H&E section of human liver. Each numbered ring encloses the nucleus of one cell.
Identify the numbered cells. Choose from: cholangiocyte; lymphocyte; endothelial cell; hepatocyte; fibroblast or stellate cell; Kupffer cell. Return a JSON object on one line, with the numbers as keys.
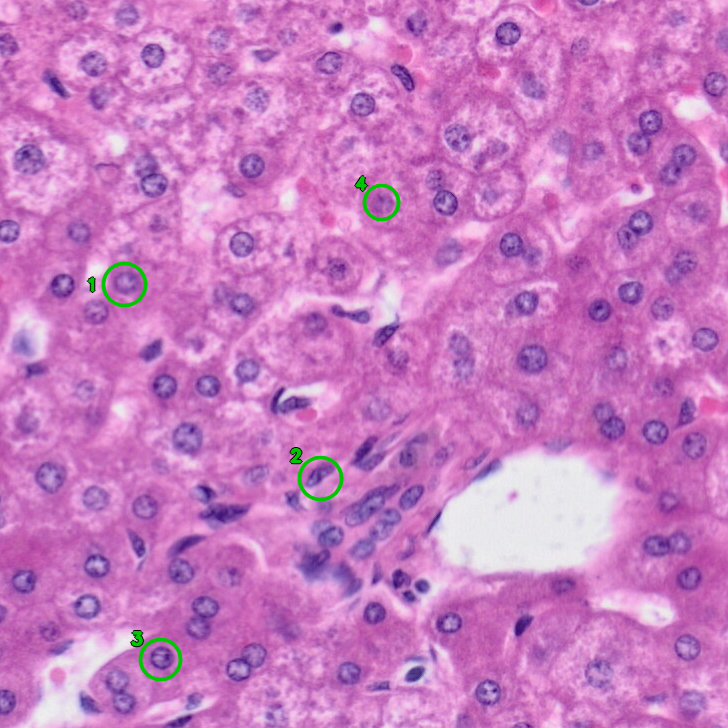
{"1": "hepatocyte", "2": "fibroblast or stellate cell", "3": "hepatocyte", "4": "hepatocyte"}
